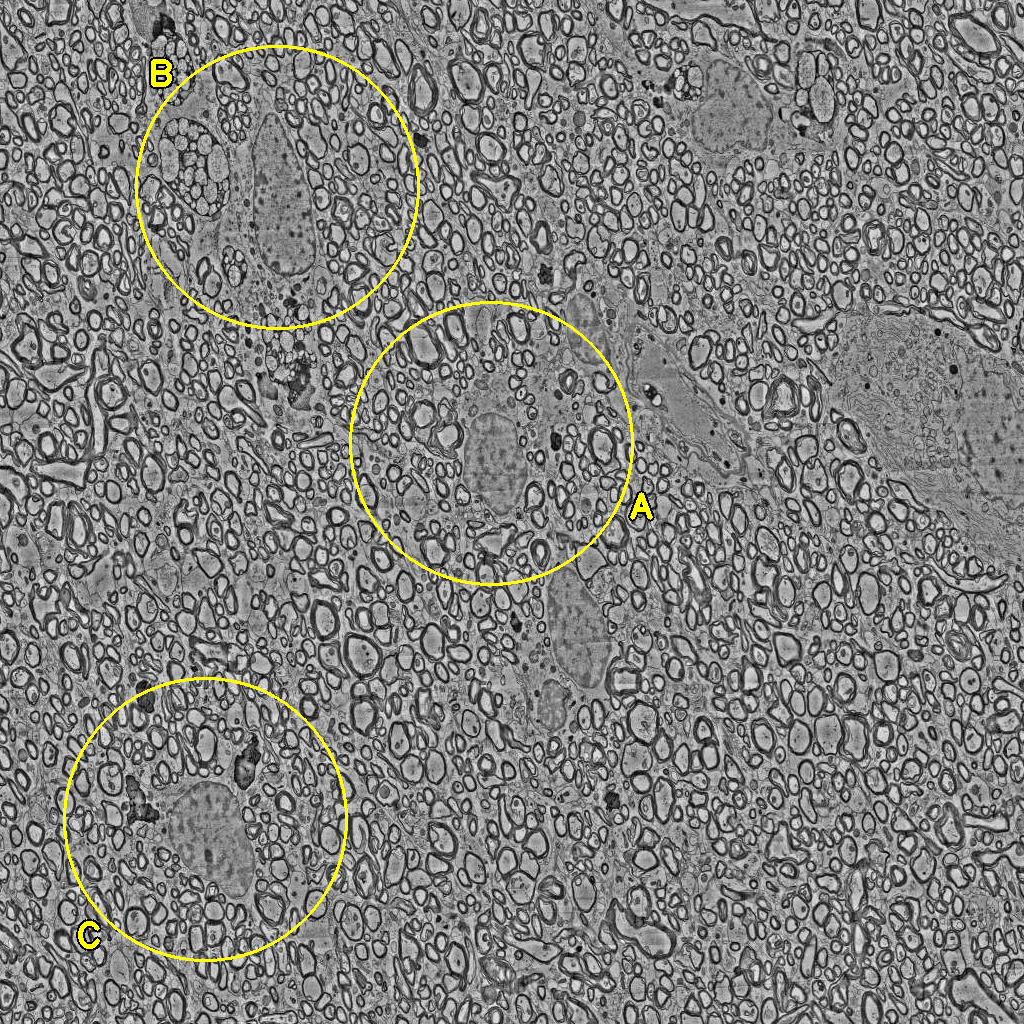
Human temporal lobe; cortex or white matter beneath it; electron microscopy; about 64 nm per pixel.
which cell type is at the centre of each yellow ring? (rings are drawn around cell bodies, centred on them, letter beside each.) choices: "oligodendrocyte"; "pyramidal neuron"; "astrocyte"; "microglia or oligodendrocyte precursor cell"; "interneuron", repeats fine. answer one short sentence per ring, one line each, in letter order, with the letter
Ring A is an oligodendrocyte.
Ring B is an astrocyte.
Ring C is an oligodendrocyte.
